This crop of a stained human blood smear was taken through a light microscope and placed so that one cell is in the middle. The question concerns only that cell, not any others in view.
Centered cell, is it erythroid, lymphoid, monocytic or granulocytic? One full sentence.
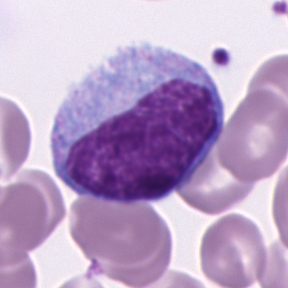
On lineage, the cell in the middle of the crop is monocytic.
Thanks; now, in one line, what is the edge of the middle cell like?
Expected answer: a smooth cell outline without projections of any sort.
